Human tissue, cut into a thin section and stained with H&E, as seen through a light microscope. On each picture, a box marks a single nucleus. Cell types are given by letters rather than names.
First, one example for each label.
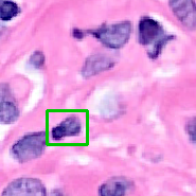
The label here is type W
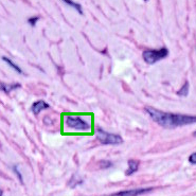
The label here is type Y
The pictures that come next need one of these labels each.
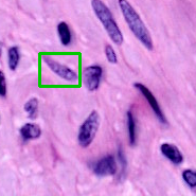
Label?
type Y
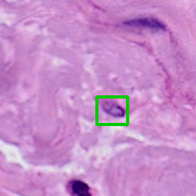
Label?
type Y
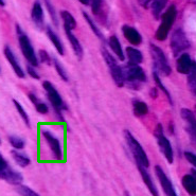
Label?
type Y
